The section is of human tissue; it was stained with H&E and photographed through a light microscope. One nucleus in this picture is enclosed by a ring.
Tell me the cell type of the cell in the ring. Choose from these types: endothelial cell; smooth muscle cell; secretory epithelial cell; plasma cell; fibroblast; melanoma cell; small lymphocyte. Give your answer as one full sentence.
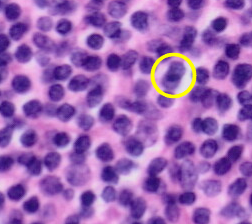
Histopathologically, the cell in the ring is a small lymphocyte.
